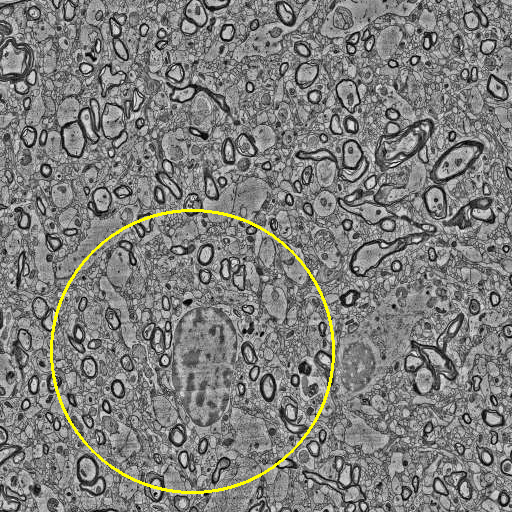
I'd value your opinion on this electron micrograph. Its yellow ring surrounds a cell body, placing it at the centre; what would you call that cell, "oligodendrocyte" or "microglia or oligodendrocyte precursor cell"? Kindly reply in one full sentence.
It is a microglial cell or oligodendrocyte precursor cell that sits centred within the yellow ring in this micrograph.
